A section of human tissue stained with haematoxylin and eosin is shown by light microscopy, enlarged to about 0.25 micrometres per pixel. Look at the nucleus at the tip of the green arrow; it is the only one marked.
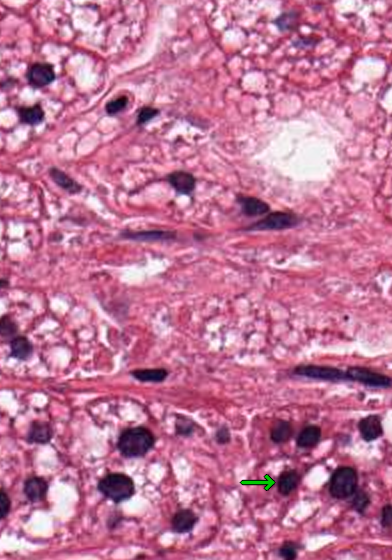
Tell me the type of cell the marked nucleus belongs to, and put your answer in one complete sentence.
The marked nucleus belongs to an adrenal cortical cell.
